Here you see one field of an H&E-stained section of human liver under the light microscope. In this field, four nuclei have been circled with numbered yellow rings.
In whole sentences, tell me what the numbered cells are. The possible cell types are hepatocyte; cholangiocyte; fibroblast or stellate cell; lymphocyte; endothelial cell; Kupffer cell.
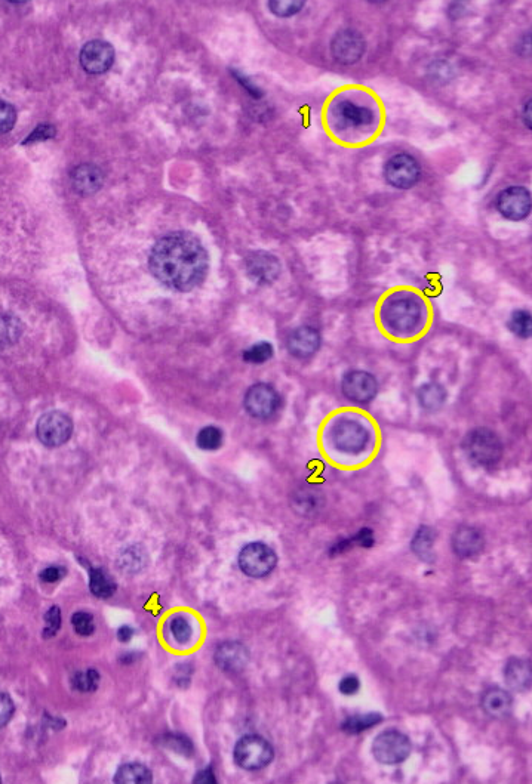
Cell 1 is a Kupffer cell. Cells 2 and 3 are hepatocytes. Cell 4 is a lymphocyte.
